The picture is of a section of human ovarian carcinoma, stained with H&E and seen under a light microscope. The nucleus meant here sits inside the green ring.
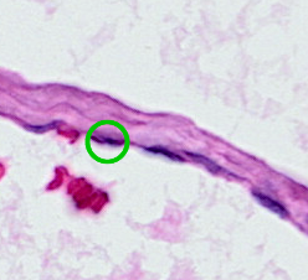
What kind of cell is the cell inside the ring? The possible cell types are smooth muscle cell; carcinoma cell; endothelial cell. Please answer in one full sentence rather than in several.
As far as its identity is concerned, the cell inside the ring is an endothelial cell.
